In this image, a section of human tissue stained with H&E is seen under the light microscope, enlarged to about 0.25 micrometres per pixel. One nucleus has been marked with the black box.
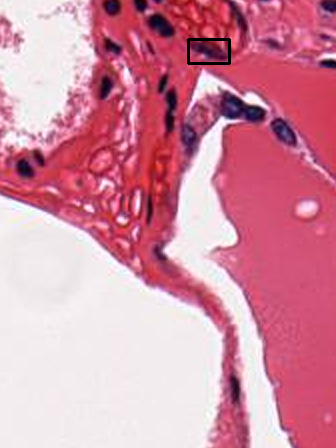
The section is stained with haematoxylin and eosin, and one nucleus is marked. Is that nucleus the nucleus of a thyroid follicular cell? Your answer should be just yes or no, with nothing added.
no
